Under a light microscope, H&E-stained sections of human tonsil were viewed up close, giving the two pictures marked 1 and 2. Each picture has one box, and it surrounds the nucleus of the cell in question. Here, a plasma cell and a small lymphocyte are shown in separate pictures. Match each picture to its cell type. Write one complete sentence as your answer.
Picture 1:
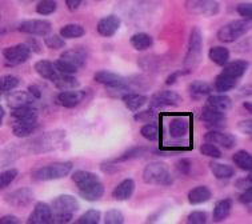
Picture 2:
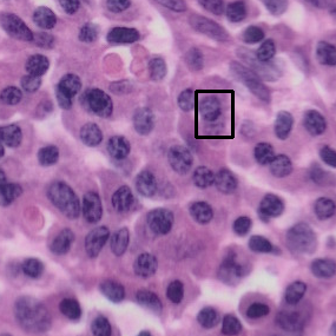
The cell in picture 1 is a small lymphocyte, and the one in picture 2 is a plasma cell.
